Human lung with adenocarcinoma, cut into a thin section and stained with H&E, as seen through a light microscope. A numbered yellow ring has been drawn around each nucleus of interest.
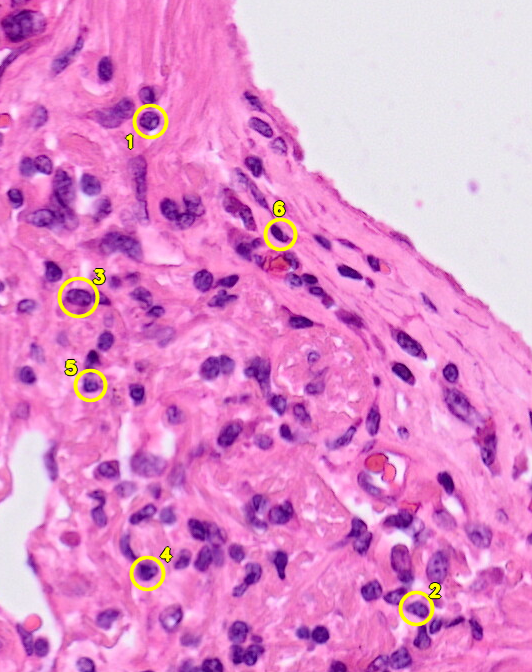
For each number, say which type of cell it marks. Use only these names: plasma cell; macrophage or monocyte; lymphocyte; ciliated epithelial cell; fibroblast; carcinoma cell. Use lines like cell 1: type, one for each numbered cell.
cell 1: lymphocyte
cell 2: lymphocyte
cell 3: plasma cell
cell 4: lymphocyte
cell 5: lymphocyte
cell 6: plasma cell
